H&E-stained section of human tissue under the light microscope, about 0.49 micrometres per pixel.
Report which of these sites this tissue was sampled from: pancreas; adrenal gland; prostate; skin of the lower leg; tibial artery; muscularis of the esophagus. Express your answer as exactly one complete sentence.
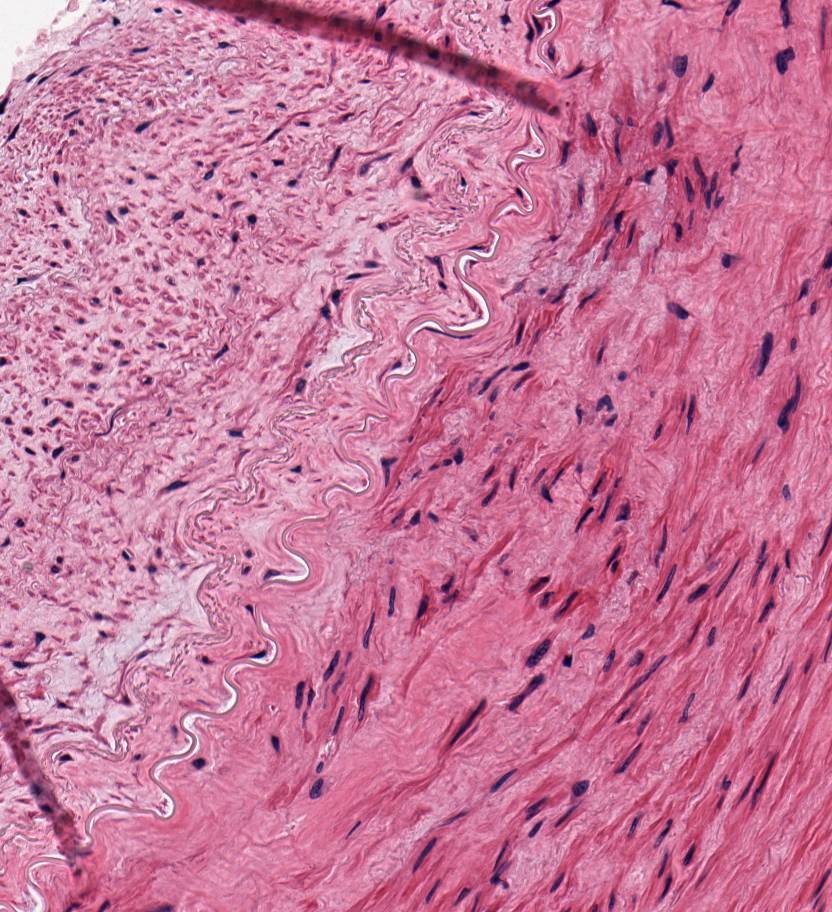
The slide carries a tissue sample from the tibial artery.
